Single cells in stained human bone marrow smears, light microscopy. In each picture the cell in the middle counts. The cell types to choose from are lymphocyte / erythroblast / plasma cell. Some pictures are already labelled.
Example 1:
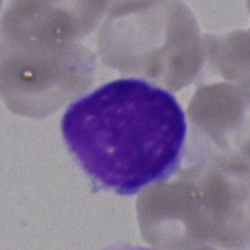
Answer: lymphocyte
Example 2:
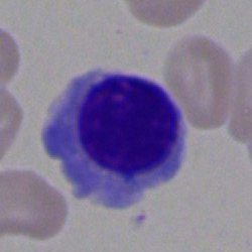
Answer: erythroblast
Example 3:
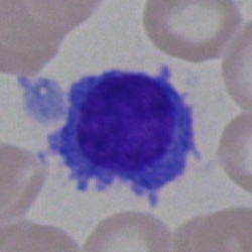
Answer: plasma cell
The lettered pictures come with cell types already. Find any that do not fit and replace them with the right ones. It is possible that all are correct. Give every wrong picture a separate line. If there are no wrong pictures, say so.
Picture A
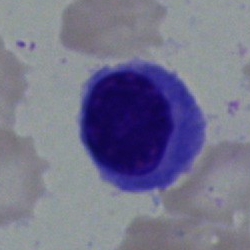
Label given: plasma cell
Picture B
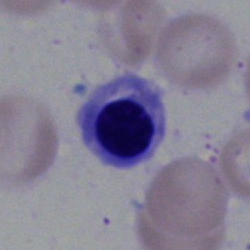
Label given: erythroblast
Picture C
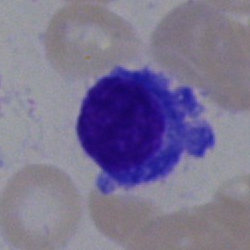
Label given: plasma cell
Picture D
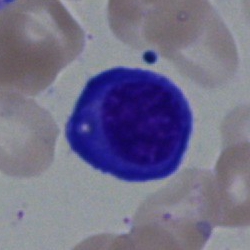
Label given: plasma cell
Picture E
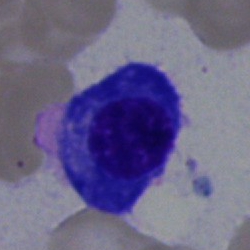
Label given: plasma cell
None of the labels needs changing.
